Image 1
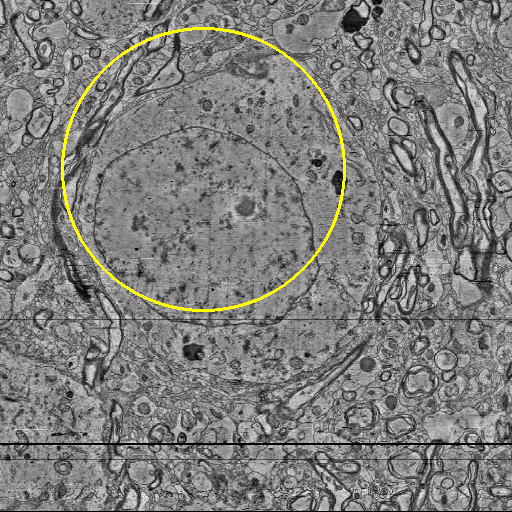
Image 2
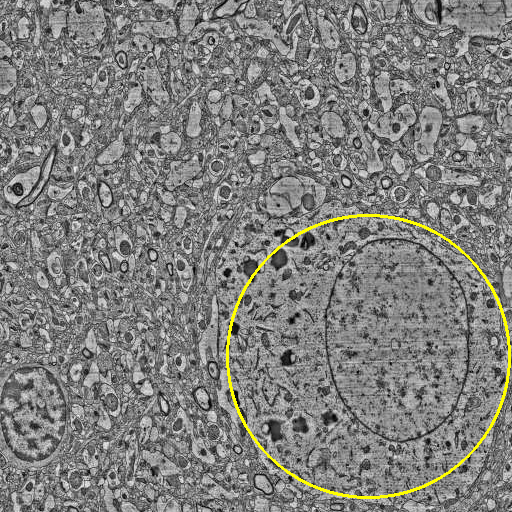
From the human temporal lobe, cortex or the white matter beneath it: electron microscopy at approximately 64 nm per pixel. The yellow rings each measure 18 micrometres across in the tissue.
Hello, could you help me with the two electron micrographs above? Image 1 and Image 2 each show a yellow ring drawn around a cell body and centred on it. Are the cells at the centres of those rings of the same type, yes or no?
yes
